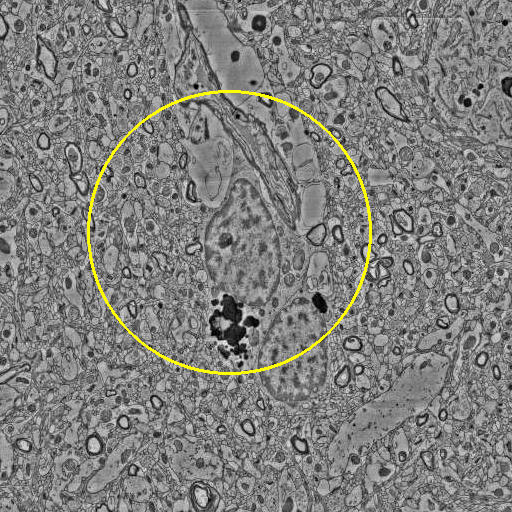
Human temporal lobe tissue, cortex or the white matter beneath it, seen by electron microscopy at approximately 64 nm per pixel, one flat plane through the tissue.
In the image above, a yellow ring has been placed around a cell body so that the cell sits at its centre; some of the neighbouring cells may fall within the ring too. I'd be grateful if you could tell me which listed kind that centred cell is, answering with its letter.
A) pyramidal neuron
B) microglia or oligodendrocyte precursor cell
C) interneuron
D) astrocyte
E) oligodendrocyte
E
